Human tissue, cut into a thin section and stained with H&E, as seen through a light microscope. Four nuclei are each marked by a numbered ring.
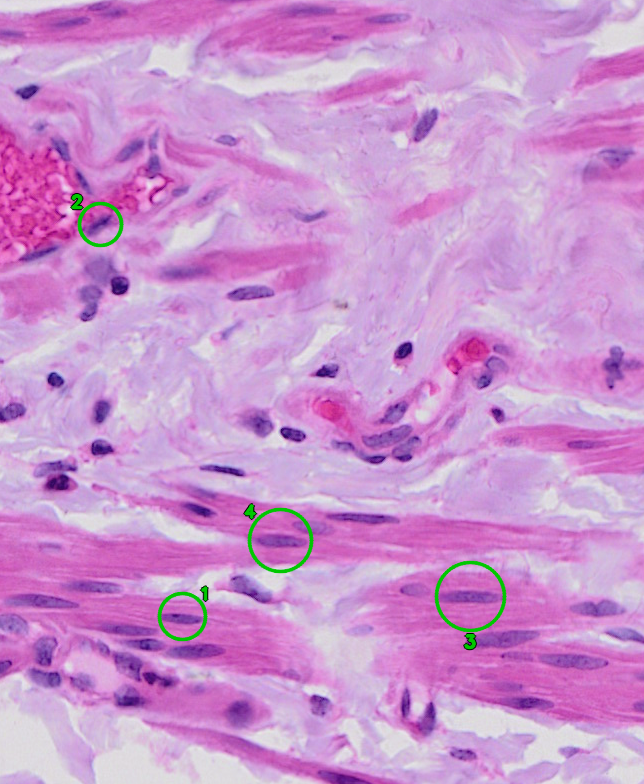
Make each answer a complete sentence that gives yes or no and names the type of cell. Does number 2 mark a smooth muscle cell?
No, not a smooth muscle cell: the cell with number 2 is an endothelial cell.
